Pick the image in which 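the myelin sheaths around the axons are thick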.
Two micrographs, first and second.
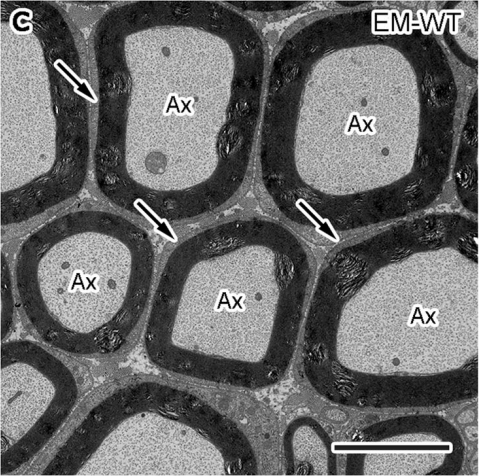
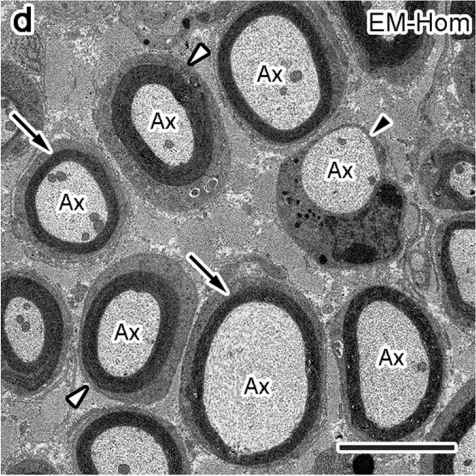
the first image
